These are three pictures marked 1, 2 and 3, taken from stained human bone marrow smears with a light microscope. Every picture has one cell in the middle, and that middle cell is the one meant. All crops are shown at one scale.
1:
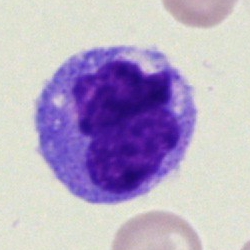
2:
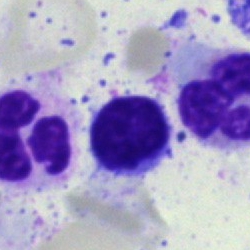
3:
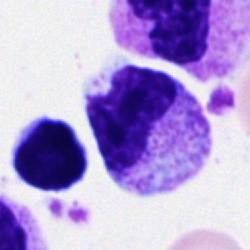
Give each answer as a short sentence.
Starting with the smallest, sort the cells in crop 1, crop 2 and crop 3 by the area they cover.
The order is 2, 3, 1, beginning with the smallest.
